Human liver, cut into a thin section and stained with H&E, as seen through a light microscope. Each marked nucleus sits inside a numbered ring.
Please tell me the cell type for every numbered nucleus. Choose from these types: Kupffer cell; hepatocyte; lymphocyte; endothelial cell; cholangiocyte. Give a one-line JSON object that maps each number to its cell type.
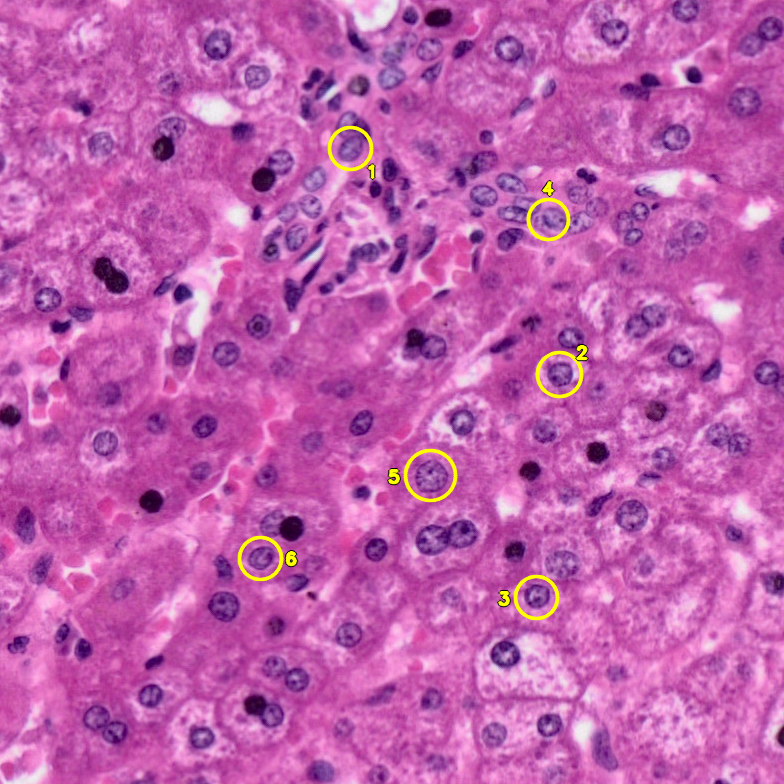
{"1": "cholangiocyte", "2": "hepatocyte", "3": "hepatocyte", "4": "cholangiocyte", "5": "hepatocyte", "6": "hepatocyte"}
